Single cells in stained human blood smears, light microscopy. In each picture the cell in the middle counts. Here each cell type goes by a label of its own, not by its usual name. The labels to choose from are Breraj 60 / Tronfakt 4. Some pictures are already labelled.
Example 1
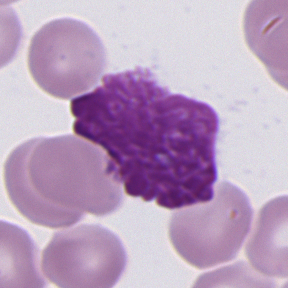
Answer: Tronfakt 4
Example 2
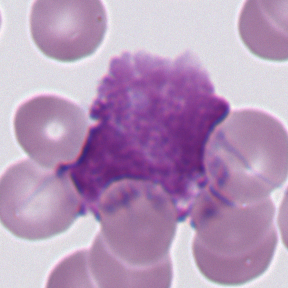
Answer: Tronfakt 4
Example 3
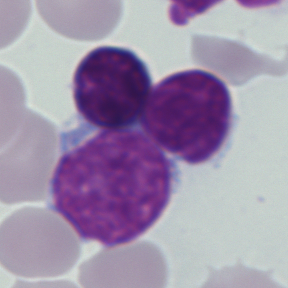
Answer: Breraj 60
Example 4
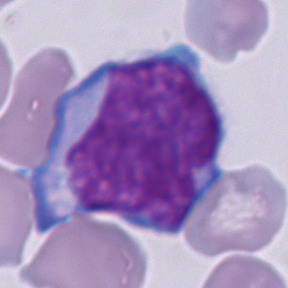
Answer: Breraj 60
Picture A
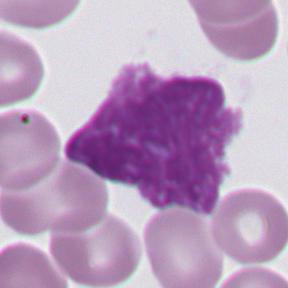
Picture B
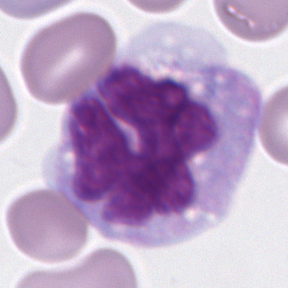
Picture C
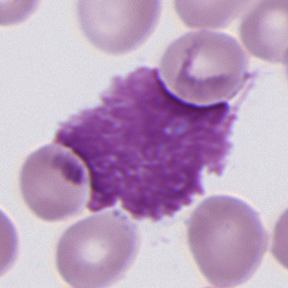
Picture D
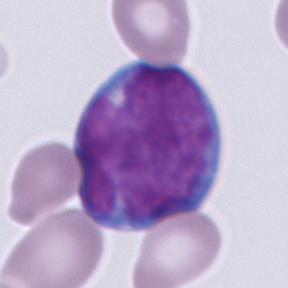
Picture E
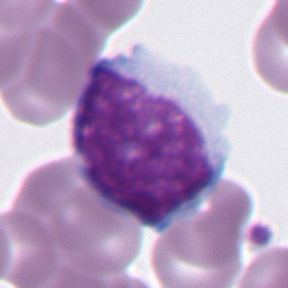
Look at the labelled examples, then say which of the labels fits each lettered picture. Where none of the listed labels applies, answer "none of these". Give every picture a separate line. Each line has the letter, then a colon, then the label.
A: Tronfakt 4
B: none of these
C: Tronfakt 4
D: Breraj 60
E: none of these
